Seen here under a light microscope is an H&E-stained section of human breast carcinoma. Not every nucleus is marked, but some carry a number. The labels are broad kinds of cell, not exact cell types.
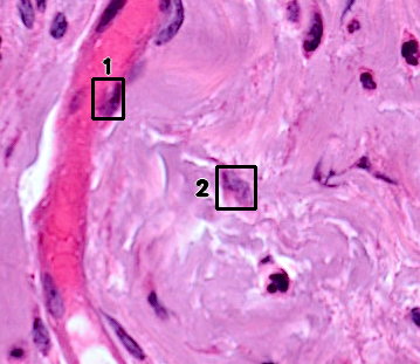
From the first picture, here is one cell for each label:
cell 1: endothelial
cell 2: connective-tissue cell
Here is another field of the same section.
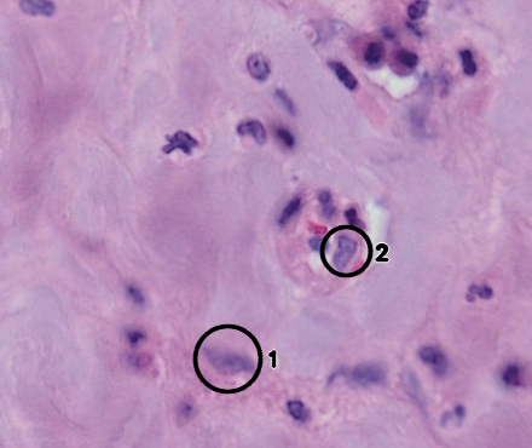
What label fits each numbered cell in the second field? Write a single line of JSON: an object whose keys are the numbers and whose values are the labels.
{"1": "connective-tissue cell", "2": "endothelial"}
